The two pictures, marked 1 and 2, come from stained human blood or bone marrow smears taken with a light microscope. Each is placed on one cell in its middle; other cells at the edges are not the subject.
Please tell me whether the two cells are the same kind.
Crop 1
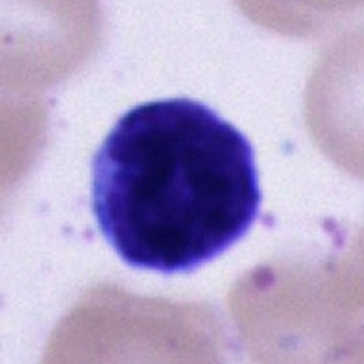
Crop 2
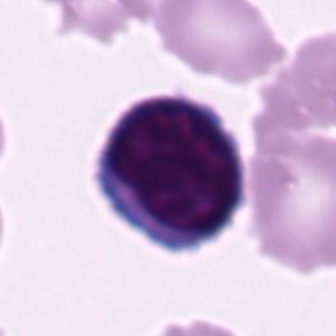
yes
